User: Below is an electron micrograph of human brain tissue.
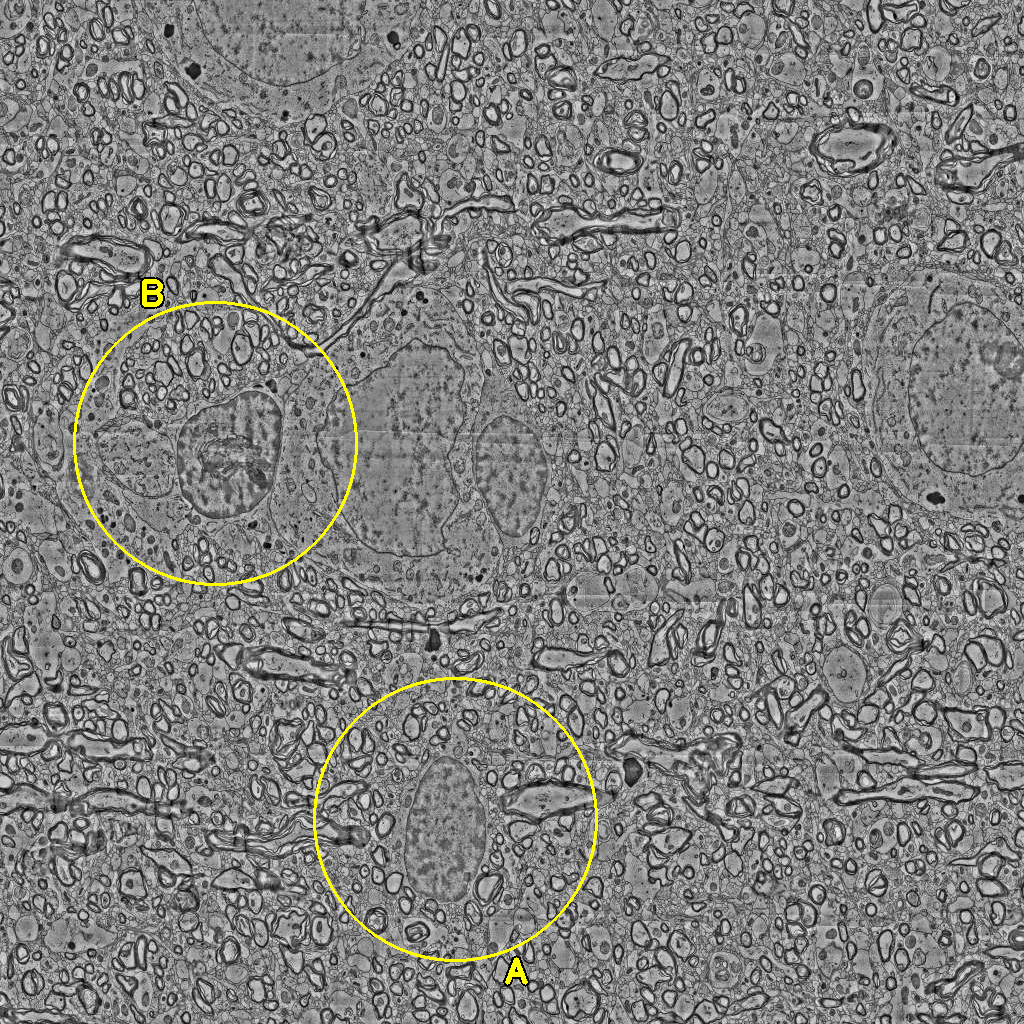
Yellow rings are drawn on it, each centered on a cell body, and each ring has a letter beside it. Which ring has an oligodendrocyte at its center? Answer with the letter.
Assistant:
A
